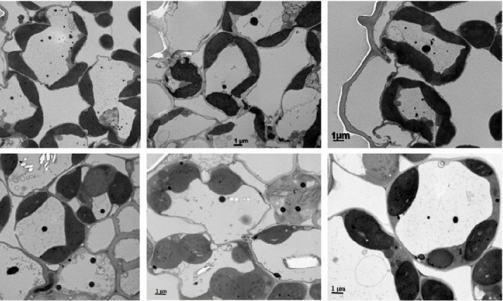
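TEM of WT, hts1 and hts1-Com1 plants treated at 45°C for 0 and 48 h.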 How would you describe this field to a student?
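Leaf mesophyll cells are shown in transmission electron micrographs, each with a large pale central vacuole and dark chloroplasts pressed in a thin layer of cytoplasm against the cell wall. Neighbouring rounded cells are separated by intercellular spaces. In some cells the chloroplasts look swollen, rounded or irregular rather than lying flat along the wall.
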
